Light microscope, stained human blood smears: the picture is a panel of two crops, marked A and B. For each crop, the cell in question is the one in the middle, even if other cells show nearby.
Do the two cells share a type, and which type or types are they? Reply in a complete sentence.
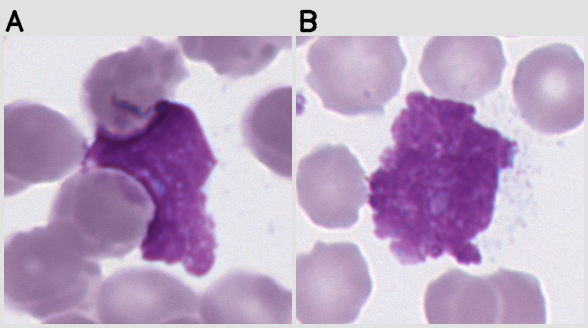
Yes, the reply for both crops is smudge cells.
